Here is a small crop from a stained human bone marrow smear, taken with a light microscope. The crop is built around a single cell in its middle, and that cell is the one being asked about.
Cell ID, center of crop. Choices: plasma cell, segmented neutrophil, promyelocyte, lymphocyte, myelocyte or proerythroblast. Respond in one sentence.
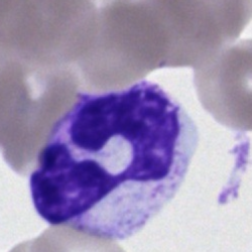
The cell nearest the centre of this crop is a segmented neutrophil.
